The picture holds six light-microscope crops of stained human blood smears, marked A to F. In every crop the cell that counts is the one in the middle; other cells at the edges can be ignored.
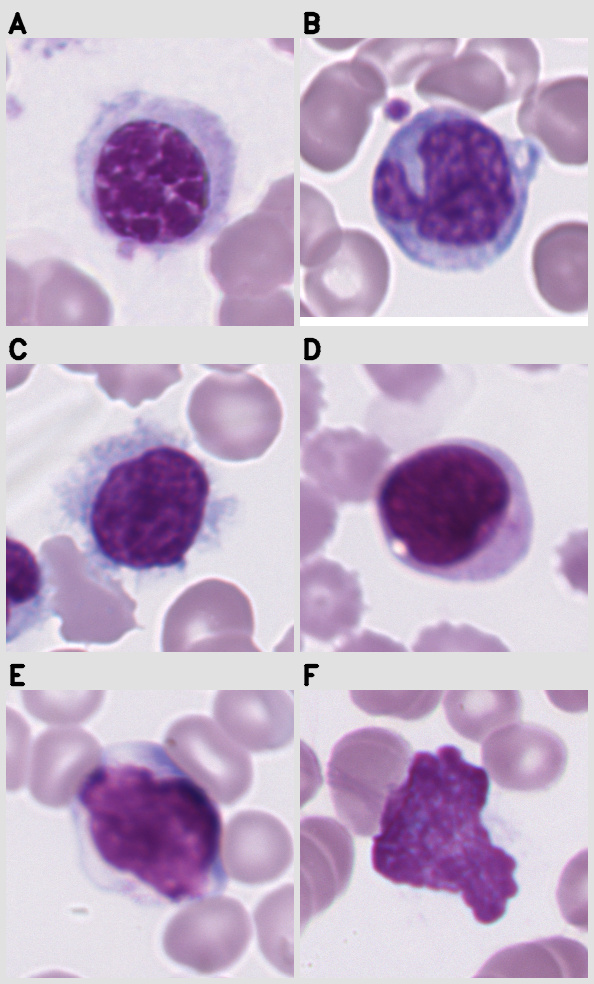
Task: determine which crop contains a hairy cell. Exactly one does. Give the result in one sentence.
The crop with a hairy cell at its center is crop C.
